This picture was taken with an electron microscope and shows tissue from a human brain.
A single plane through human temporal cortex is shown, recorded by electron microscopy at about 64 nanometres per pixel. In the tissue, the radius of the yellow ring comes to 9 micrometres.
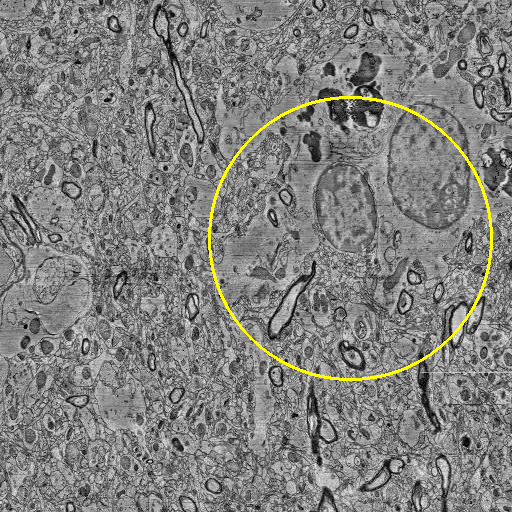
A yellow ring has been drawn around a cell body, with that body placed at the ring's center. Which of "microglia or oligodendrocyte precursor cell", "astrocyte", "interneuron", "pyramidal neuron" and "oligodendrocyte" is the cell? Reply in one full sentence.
In this picture, a microglial cell or oligodendrocyte precursor cell is the cell at the center of the yellow ring.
